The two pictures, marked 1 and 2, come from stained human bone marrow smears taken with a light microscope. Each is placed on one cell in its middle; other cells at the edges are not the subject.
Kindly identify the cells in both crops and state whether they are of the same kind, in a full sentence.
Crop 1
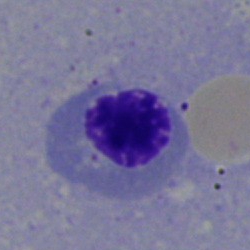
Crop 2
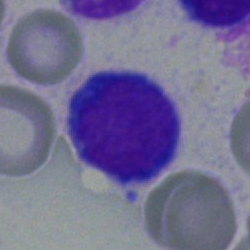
No, crop 1 shows an erythroblast, and it is crop 2 that shows a lymphocyte.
